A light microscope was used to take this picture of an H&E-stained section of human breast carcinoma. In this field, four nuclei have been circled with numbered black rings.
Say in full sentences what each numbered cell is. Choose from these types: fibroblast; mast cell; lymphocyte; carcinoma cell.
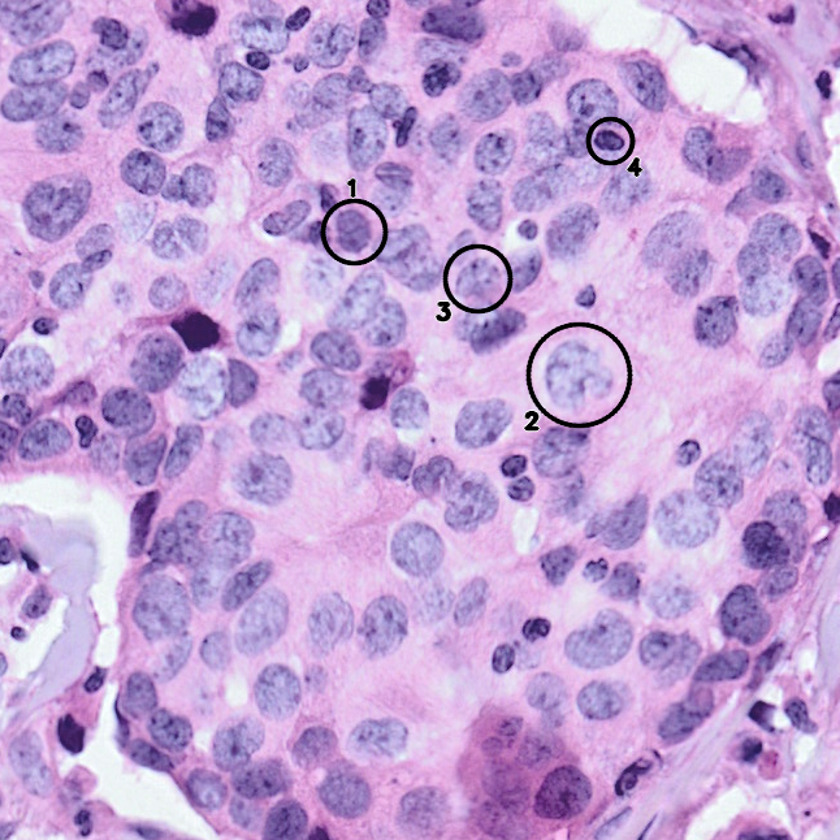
Cells 1, 2 and 3 are carcinoma cells. Cell 4 is a lymphocyte.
